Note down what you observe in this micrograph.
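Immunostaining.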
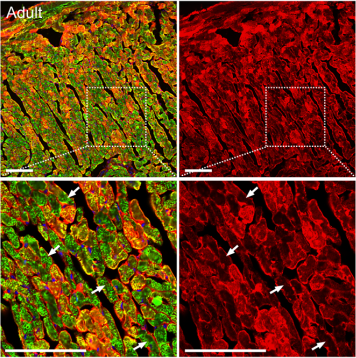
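Heart muscle made of densely packed cardiomyocytes, cut partly across and partly along their length. The fibres are grouped in bundles separated by dark, empty clefts. In the merged images the fibres carry green cytoplasmic staining mixed with red to varying degrees, so some appear yellow-orange and others mostly green. Small blue nuclei lie scattered among and within the fibres. The red-only images show the outlines of the fibres, with uneven intensity from fibre to fibre. The magnified views show individual fibre profiles more clearly, and white arrows mark several of them.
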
